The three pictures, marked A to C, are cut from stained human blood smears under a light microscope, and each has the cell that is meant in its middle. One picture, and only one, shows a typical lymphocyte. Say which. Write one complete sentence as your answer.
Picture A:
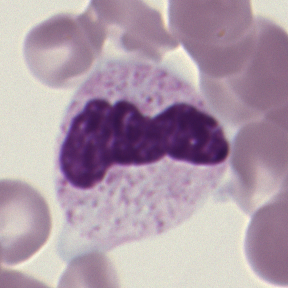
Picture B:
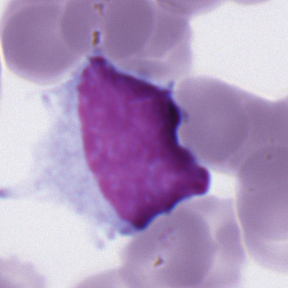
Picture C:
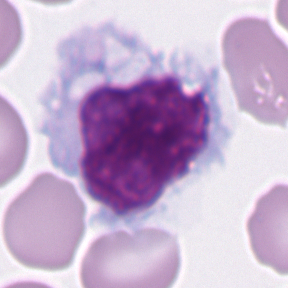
Picture B shows the typical lymphocyte.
